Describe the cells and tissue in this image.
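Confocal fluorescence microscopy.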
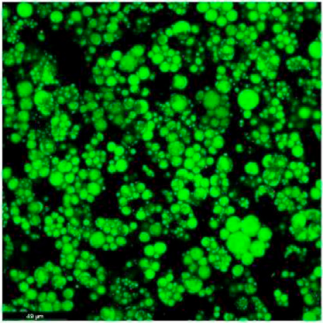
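Green, round droplets again pack clusters of cultured fat cells across the field, with dark gaps between groups. Here many clusters are made up of numerous small and medium droplets crowded side by side, with fewer of the very large spheres; a few big droplets still stand out. Cell borders are not drawn, and nothing besides the lipid is stained. These are differentiated adipocytes holding their fat in many lipid droplets, which on the whole look smaller and more numerous per cluster than large single spheres.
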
